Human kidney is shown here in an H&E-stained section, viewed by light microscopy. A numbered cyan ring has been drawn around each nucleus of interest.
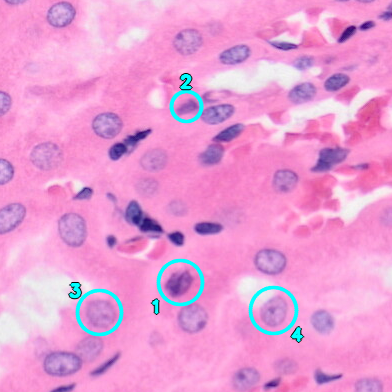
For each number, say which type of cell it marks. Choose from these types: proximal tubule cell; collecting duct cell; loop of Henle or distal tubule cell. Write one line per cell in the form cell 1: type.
cell 1: proximal tubule cell
cell 2: collecting duct cell
cell 3: proximal tubule cell
cell 4: proximal tubule cell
